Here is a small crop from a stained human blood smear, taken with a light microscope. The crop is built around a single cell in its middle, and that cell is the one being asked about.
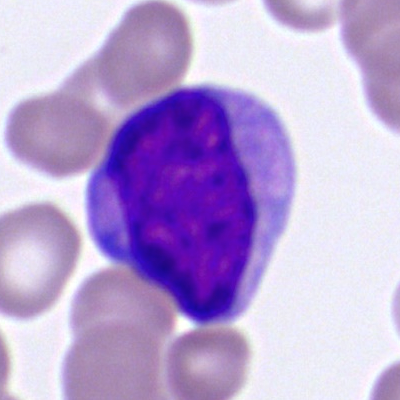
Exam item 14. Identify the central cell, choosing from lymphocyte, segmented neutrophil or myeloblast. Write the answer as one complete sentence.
In the crop, the cell of interest at the centre is a myeloblast.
